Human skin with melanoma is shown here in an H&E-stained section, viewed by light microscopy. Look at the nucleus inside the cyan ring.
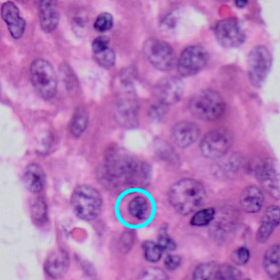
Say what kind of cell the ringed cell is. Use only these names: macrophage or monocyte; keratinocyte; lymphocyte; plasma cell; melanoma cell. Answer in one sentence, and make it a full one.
In this section, the ringed cell is a lymphocyte.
